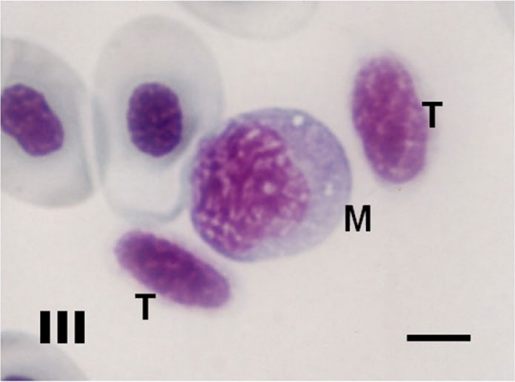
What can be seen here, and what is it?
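A blood smear showing a monocyte beside two thrombocytes and oval nucleated red cells. The monocyte is a large round cell with a big eccentric purple nucleus of coarse chromatin and a broad rim of pale blue-grey cytoplasm. The thrombocytes are small elongated cells whose oval purple nucleus fills almost the whole cell.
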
